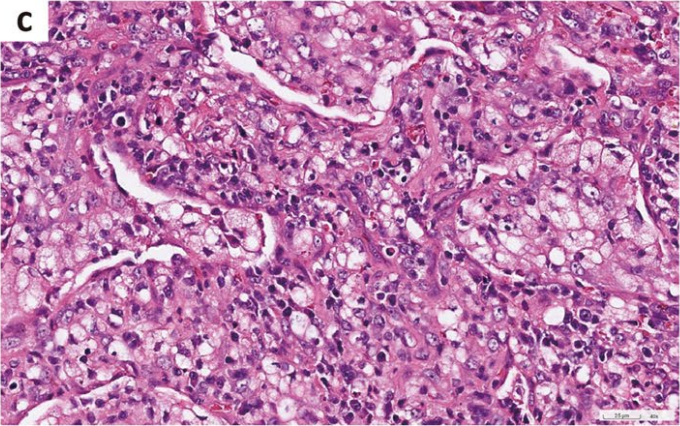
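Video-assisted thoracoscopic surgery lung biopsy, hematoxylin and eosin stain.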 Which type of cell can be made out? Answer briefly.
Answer: foamy histiocytes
